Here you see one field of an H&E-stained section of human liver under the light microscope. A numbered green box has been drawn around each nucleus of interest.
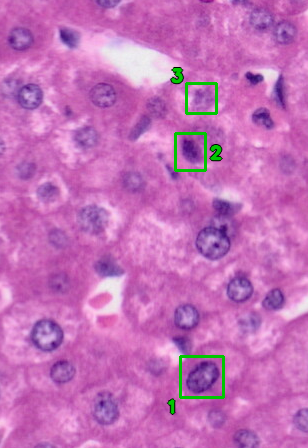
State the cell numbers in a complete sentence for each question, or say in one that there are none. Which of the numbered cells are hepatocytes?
The cells carrying the numbers 1 and 3 are hepatocytes.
